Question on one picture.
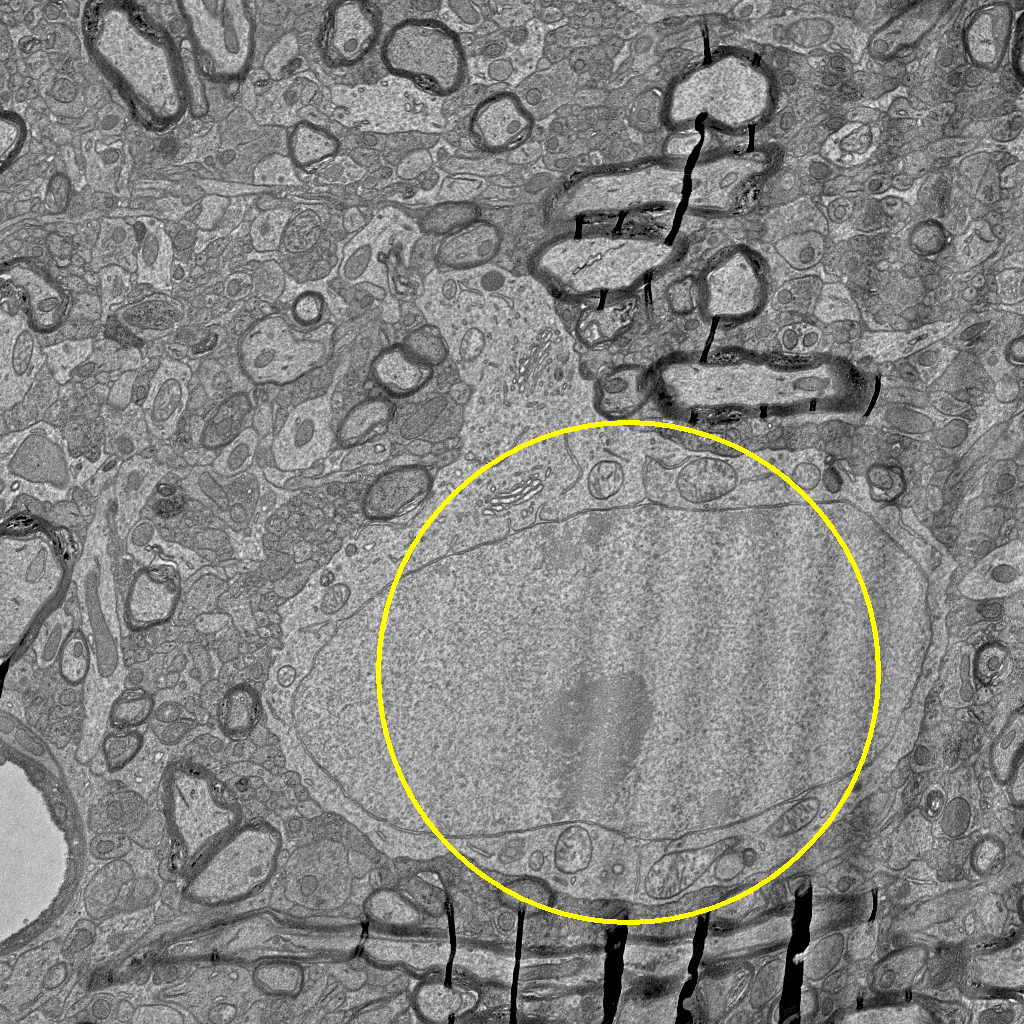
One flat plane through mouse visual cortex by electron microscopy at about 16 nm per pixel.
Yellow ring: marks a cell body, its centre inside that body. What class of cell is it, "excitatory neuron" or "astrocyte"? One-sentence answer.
This is an excitatory neuron, the cell at the ring's centre.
